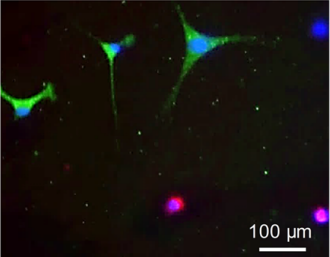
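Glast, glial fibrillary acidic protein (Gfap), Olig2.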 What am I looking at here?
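This sparse culture shows astrocytes and a few other small cells. The astrocytes, in green, are star-shaped, with a central body holding a blue oval nucleus and several tapering processes radiating outward. Elsewhere, small round cells show red signal overlapping their blue nuclei, giving a pink-purple colour. These red-marked cells have no visible green processes and lie apart from the astrocytes. Much of the field is empty background with a few scattered faint specks.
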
